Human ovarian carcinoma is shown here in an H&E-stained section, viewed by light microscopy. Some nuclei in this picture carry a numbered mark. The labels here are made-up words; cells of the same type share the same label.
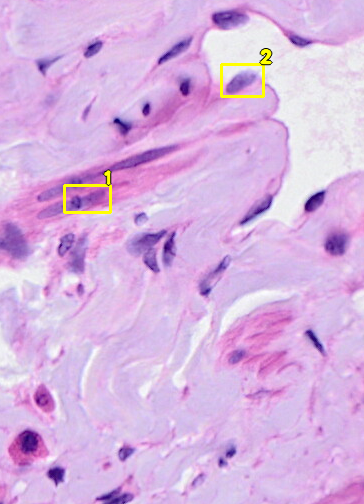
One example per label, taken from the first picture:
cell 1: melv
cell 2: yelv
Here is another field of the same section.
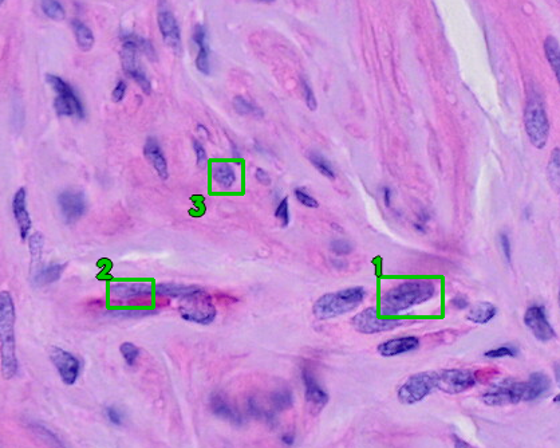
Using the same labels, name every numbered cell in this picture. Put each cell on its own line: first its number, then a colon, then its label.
1: yelv
2: yelv
3: melv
